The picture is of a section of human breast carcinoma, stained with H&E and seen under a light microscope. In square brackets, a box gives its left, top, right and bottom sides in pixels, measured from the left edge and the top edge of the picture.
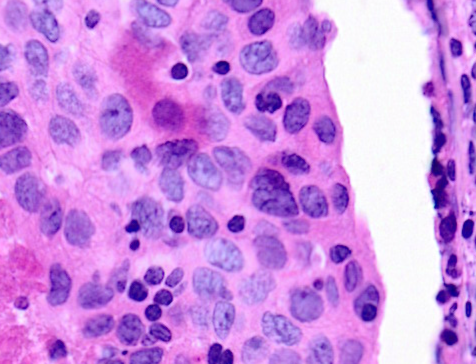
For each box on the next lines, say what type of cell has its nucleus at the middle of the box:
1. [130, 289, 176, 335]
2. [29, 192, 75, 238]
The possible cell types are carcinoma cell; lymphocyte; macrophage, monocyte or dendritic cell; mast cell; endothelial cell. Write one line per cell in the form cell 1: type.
cell 1: lymphocyte
cell 2: carcinoma cell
